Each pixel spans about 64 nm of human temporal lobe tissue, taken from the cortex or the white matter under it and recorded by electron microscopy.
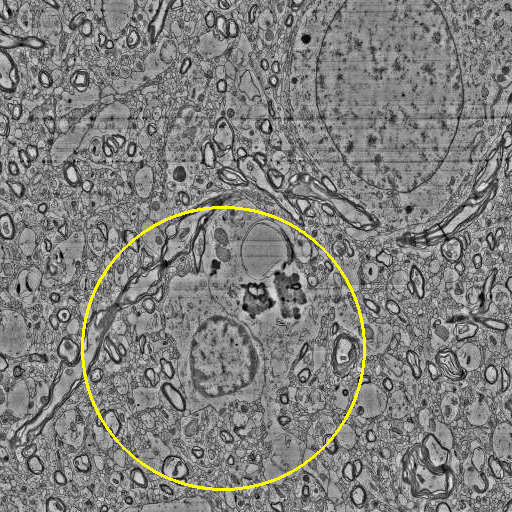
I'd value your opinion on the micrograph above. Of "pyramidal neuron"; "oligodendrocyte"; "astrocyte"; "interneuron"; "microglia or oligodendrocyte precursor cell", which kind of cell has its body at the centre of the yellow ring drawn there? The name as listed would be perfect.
microglia or oligodendrocyte precursor cell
